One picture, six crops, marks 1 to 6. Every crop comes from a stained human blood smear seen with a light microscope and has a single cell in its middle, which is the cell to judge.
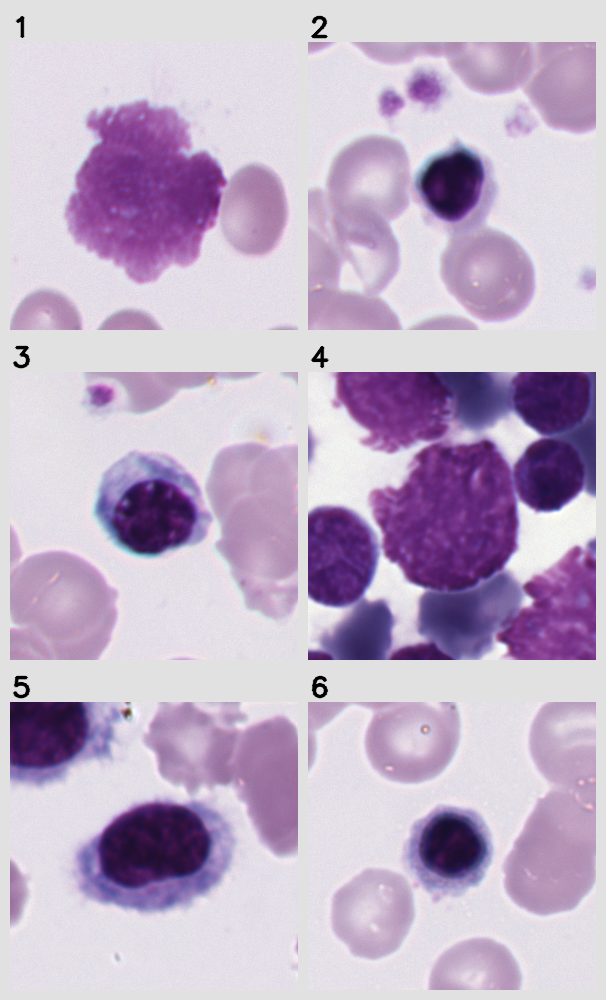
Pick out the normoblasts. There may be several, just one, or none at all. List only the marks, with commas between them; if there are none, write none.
2, 3, 6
